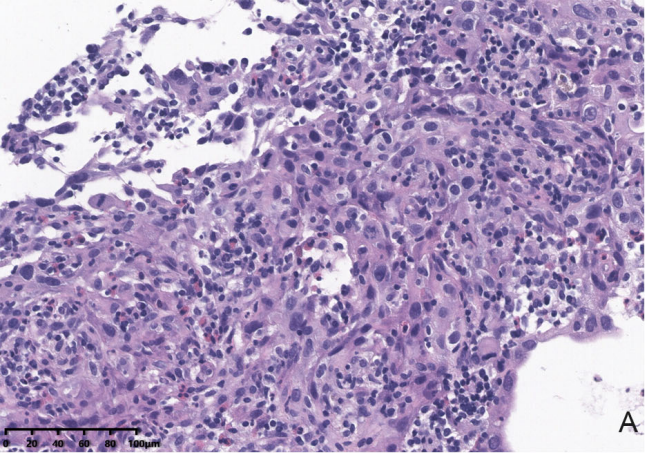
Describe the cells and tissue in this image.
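This is a cell-rich sample in which large epithelial cells with enlarged, irregular purple nuclei and pink cytoplasm form crowded sheets. Their nuclei vary in size and shape, and many small, dark, round nuclei of other cells lie scattered among them.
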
